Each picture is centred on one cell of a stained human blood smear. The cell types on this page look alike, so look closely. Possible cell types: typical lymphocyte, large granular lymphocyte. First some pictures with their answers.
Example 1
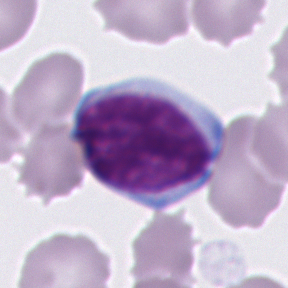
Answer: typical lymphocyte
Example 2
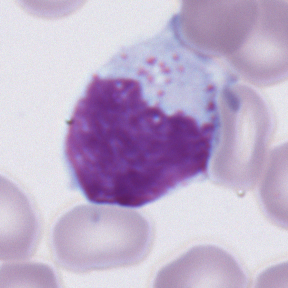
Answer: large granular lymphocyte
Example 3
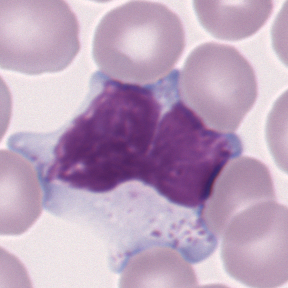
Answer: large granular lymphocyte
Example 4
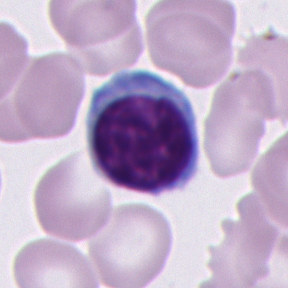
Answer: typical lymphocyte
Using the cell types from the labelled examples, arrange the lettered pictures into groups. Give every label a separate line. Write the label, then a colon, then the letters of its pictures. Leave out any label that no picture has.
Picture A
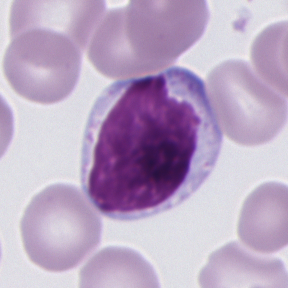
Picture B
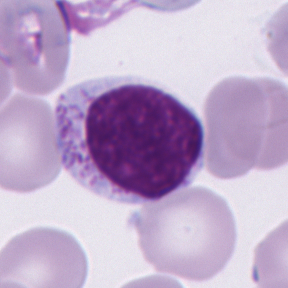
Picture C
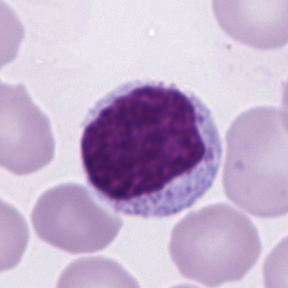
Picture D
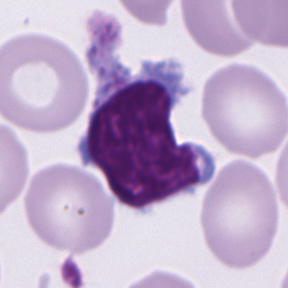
typical lymphocyte: D
large granular lymphocyte: A, B, C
